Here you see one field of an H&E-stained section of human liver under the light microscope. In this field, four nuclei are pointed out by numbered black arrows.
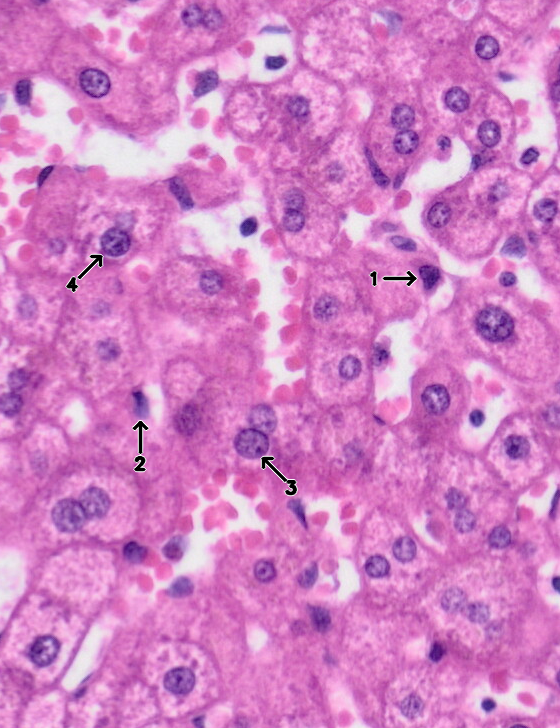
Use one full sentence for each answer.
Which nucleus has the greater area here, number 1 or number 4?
Of the two, number 4 is bigger and takes up about 1.5 times the area of number 1.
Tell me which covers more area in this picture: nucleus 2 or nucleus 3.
Nucleus 3 covers more area, about 2.5 times as much as nucleus 2.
